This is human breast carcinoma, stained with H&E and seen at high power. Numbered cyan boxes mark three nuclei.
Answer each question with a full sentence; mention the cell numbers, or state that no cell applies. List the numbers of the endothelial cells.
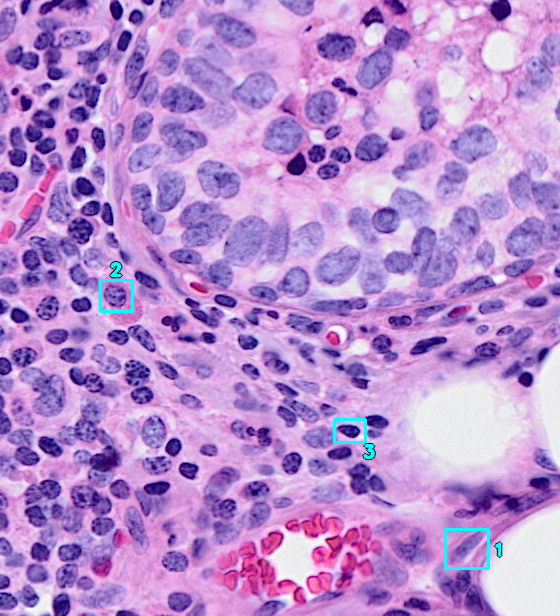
Among the numbered cells, an endothelial cell occurs only once, as cell 1.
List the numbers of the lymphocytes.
With the exception of cell 3, no marked cell is a lymphocyte.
